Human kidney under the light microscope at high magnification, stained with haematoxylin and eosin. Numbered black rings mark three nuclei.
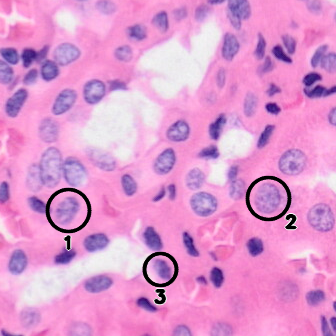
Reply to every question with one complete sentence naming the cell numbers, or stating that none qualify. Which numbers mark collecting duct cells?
Being a collecting duct cell is true of cell 1 and of no other numbered cell.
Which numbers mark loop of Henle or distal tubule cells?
The only cell among those numbered to be a loop of Henle or distal tubule cell is number 3.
